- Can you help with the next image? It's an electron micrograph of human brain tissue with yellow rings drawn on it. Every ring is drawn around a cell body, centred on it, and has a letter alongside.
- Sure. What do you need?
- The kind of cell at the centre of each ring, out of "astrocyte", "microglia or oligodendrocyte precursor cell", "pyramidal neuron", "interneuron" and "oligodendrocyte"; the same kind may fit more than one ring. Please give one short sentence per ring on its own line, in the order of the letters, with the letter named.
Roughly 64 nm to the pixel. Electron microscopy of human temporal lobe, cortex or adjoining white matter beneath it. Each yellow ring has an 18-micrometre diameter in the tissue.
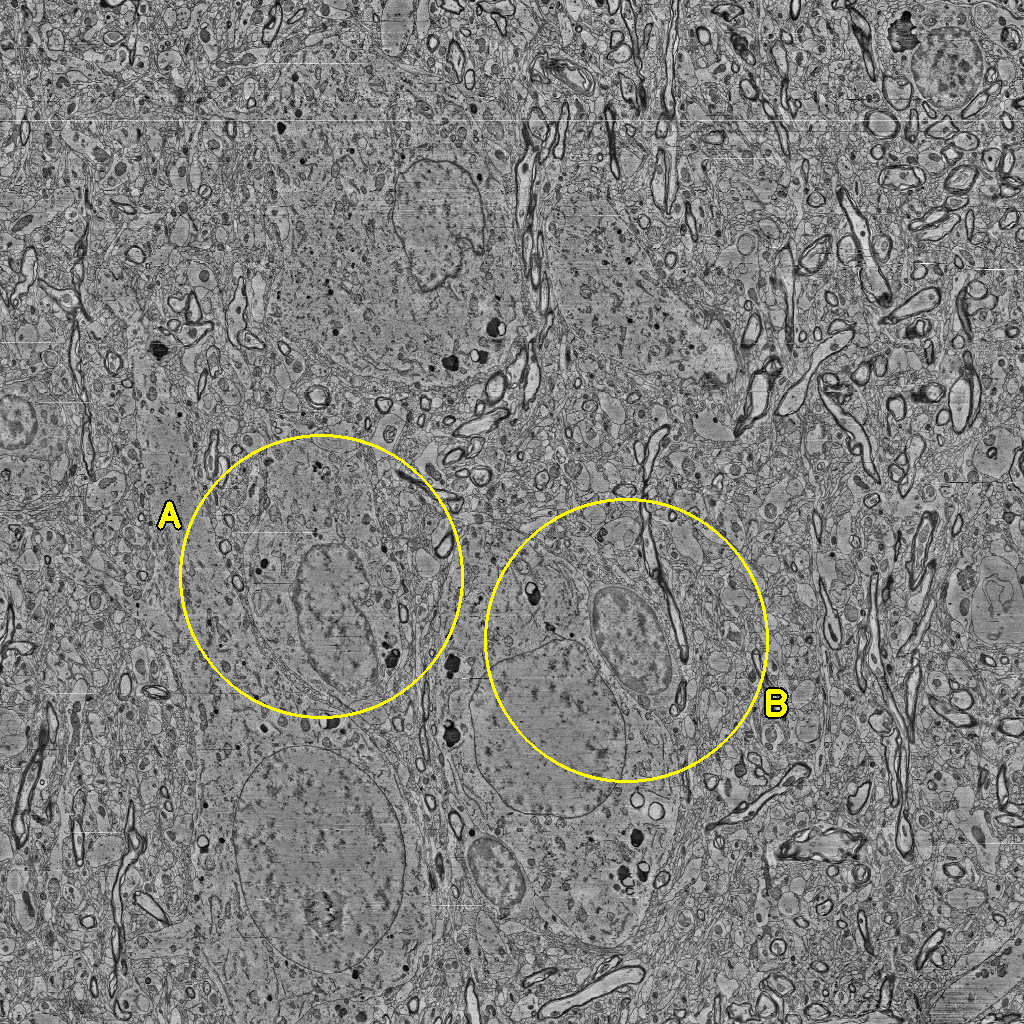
Ring A picks out an interneuron.
Ring B picks out an oligodendrocyte.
